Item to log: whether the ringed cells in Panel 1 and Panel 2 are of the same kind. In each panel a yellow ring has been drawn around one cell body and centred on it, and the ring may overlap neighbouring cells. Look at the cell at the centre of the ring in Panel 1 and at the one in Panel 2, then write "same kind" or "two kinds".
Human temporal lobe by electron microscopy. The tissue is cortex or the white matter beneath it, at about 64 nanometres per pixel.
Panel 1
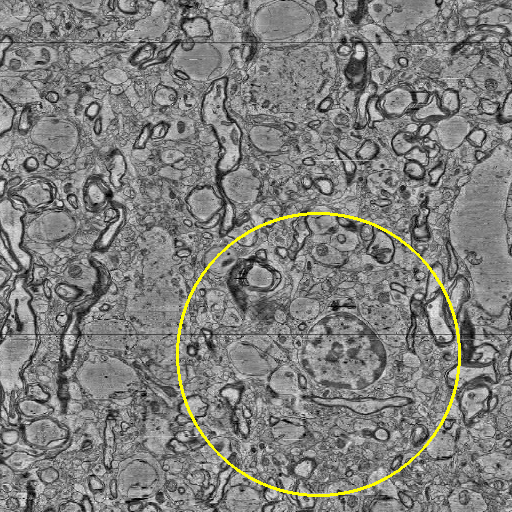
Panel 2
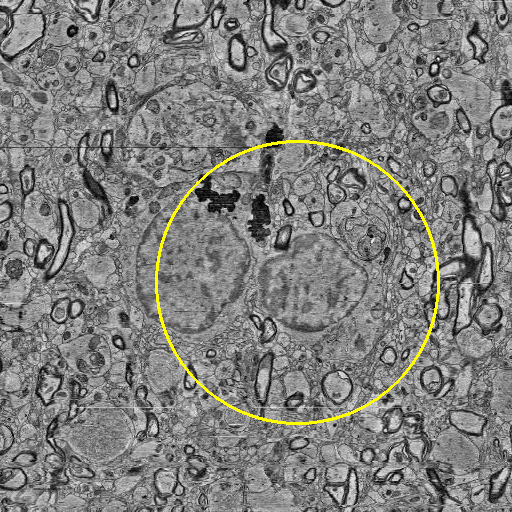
two kinds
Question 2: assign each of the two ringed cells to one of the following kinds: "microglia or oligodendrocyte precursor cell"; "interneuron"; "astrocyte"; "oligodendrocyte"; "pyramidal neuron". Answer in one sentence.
The two cells are a microglial cell or oligodendrocyte precursor cell in the first picture and an oligodendrocyte in the second.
